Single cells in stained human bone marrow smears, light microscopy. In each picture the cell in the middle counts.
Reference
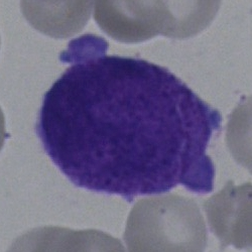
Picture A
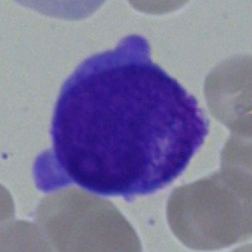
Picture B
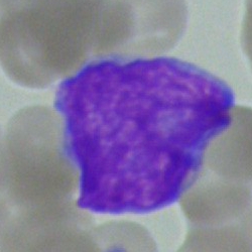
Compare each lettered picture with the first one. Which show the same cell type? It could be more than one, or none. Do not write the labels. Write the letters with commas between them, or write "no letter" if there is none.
A, B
